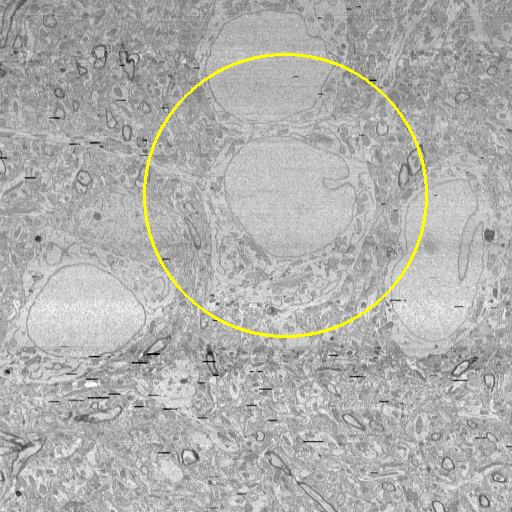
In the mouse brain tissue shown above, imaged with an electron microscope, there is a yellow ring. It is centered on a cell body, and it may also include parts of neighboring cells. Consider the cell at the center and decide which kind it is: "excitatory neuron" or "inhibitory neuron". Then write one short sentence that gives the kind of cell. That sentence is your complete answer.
This centered cell body is that of an inhibitory neuron.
